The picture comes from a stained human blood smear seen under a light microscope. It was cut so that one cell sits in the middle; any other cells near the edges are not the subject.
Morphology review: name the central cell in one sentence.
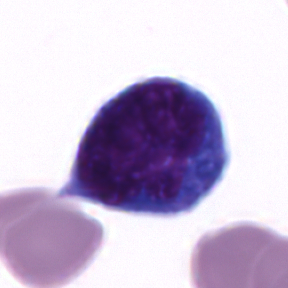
The cell centered in this field of view is a plasma cell.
